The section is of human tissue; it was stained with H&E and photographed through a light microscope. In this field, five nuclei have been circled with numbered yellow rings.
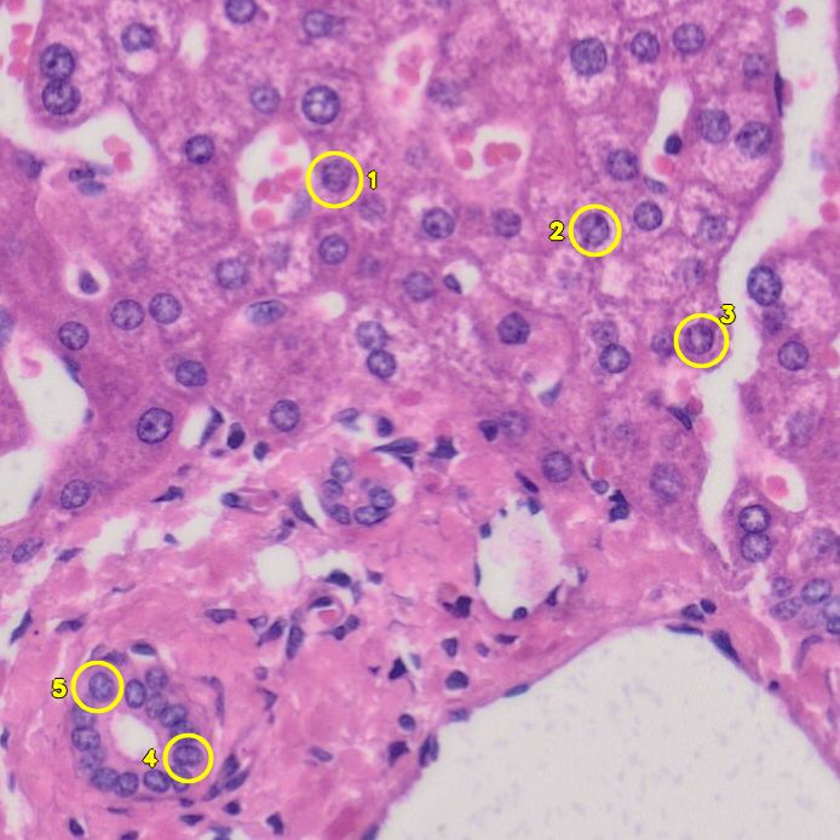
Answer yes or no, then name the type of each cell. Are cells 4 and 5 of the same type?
Yes, both are cholangiocytes.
